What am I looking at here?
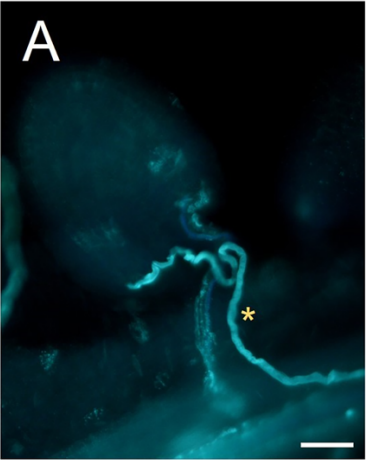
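This fluorescence image shows an ovule inside a pistil with a pollen tube growing towards it. The ovule is a large, dimly fluorescent oval body occupying the upper part of the field. A single long, narrow tube fluoresces bright cyan and winds across the tissue before turning up towards the narrow end of the ovule. Fainter, speckled cyan streaks lie in the tissue below and beside it. The background surrounding the ovule is dark.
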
